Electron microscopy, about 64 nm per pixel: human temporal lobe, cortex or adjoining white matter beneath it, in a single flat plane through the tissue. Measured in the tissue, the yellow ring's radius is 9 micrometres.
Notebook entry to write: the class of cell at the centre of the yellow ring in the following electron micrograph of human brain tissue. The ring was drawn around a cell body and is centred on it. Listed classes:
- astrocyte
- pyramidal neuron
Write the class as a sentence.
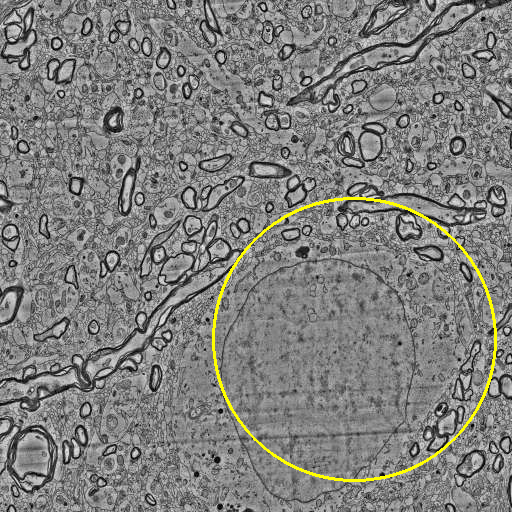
The yellow ring sits on a pyramidal neuron.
